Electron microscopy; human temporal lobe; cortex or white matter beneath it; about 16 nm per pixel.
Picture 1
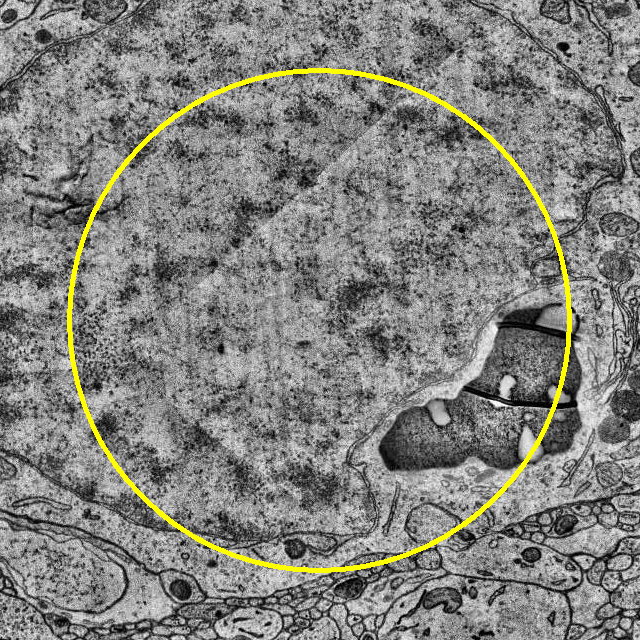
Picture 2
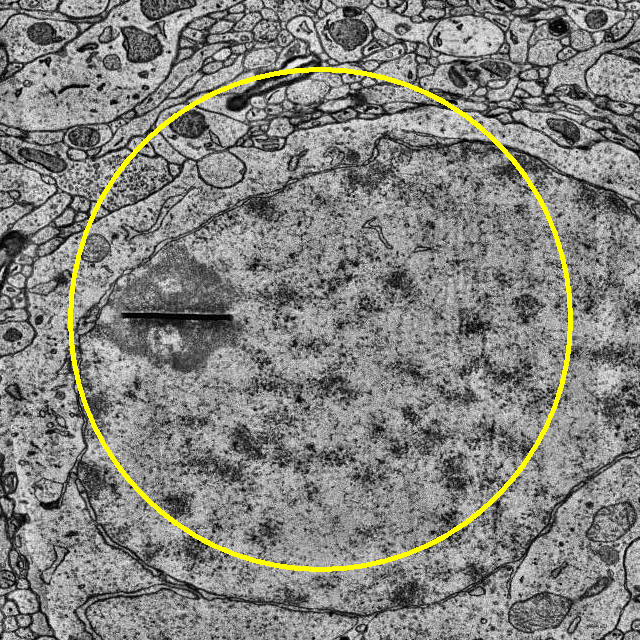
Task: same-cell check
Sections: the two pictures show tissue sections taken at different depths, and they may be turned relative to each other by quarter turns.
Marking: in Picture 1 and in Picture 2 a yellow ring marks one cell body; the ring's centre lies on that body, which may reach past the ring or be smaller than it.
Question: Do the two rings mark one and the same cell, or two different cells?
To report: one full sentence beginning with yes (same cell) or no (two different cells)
Yes, the first and second rings frame the same single cell.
